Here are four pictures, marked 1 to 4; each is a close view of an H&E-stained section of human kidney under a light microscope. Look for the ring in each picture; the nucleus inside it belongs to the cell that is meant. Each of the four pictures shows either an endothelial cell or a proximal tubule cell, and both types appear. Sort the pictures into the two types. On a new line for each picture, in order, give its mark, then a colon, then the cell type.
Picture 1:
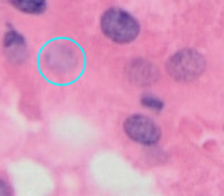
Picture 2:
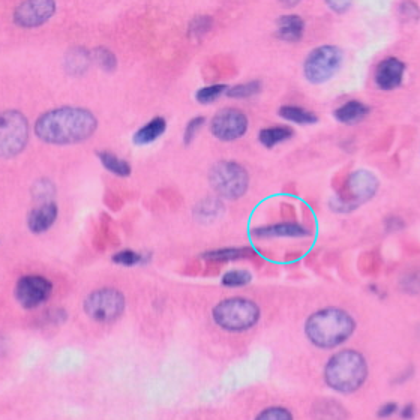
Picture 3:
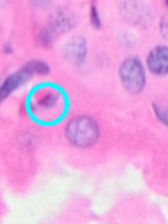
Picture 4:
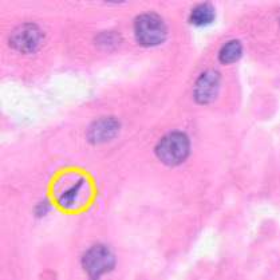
1: proximal tubule cell
2: endothelial cell
3: endothelial cell
4: endothelial cell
